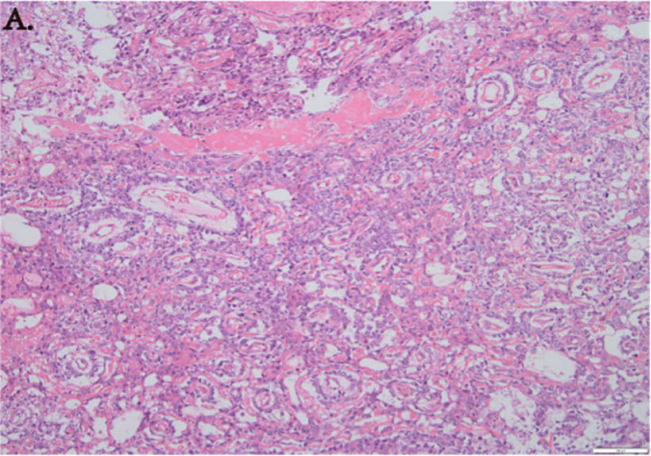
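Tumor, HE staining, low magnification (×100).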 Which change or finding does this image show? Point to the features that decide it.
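Many clear spaces of varying size form a network through the tissue. Tumor cells line and separate the spaces. Numerous small round glomeruloid structures are scattered throughout. So: sinusoid lacunar or reticular growth pattern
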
